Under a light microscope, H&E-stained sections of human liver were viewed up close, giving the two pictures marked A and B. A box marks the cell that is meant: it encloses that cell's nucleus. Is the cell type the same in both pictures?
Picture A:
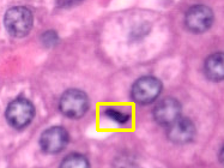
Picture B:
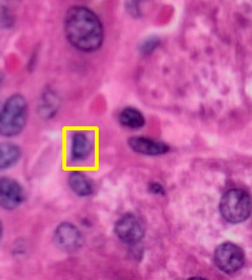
yes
